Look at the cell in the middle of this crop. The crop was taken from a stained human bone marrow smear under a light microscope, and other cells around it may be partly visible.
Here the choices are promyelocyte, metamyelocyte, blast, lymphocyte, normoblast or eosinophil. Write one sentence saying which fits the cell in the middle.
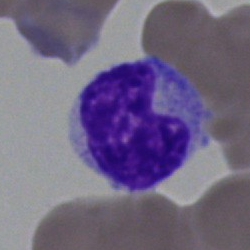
The central cell shown in this smear crop is a metamyelocyte.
